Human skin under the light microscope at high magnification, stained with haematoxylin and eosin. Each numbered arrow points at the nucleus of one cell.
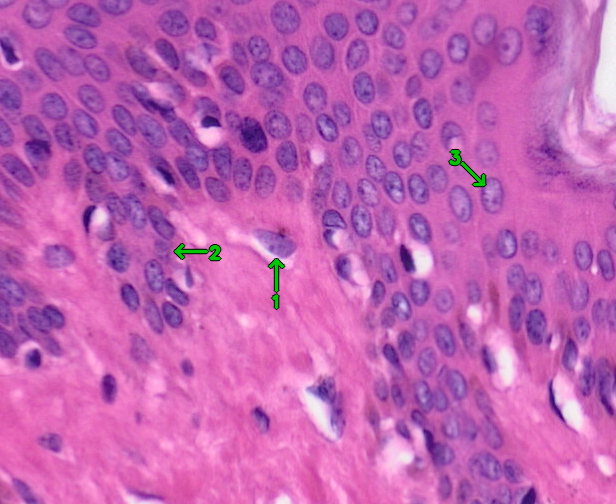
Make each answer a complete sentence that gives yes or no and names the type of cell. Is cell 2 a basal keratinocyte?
Yes, correct, the cell with the number 2 is a basal keratinocyte.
